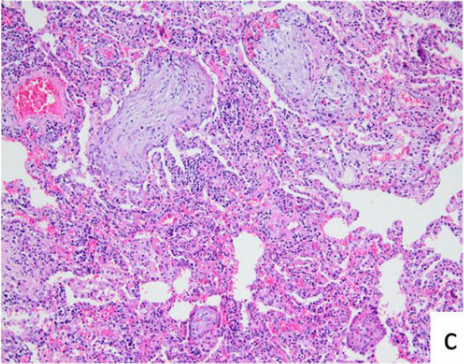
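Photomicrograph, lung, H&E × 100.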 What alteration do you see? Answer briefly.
Lymphocytic inflammation.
